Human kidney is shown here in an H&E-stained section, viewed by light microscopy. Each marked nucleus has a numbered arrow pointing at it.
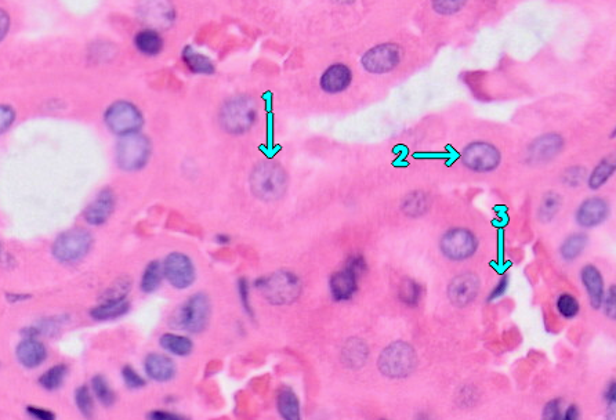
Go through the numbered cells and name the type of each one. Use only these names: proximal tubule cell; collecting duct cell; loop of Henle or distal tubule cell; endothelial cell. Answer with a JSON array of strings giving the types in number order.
["proximal tubule cell", "proximal tubule cell", "endothelial cell"]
